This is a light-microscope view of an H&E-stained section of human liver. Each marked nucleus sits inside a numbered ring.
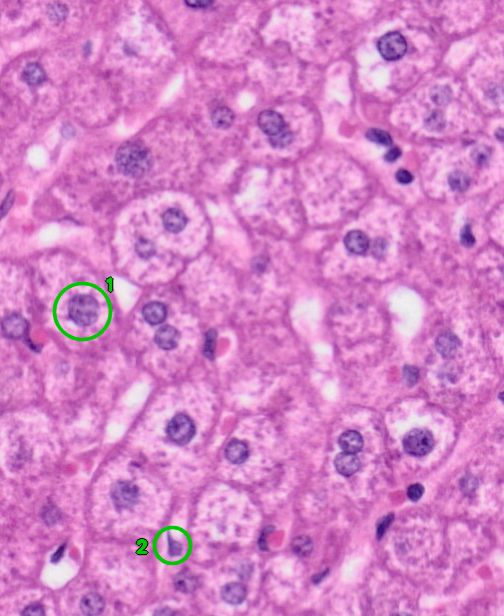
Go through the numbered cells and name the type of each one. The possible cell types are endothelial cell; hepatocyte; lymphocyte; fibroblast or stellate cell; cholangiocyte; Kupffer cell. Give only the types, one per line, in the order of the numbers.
hepatocyte
endothelial cell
